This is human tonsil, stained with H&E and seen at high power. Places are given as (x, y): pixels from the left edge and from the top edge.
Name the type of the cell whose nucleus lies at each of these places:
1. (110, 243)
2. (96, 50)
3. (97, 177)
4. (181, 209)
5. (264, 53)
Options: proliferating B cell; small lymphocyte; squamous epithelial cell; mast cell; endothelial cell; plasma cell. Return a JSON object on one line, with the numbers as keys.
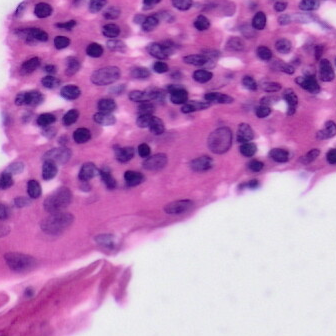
{"1": "squamous epithelial cell", "2": "plasma cell", "3": "squamous epithelial cell", "4": "squamous epithelial cell", "5": "plasma cell"}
